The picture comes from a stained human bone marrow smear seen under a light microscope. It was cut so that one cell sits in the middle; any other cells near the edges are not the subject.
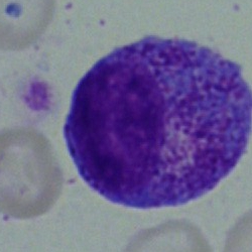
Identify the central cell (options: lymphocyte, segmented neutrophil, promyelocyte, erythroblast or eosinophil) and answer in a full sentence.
Regarding the central cell, it is a promyelocyte.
